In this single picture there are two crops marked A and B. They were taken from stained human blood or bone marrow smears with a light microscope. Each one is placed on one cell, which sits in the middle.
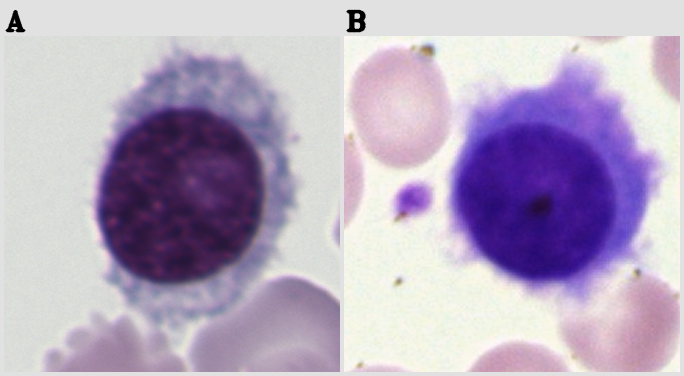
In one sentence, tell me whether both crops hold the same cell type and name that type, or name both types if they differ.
Yes, what both crops show is hairy cells.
